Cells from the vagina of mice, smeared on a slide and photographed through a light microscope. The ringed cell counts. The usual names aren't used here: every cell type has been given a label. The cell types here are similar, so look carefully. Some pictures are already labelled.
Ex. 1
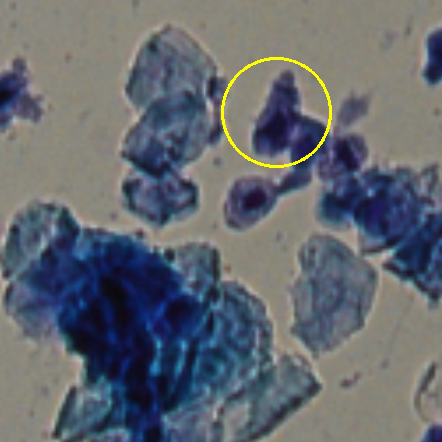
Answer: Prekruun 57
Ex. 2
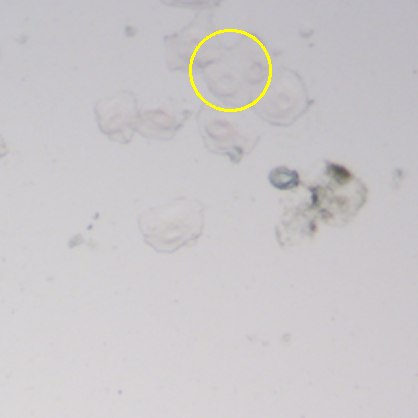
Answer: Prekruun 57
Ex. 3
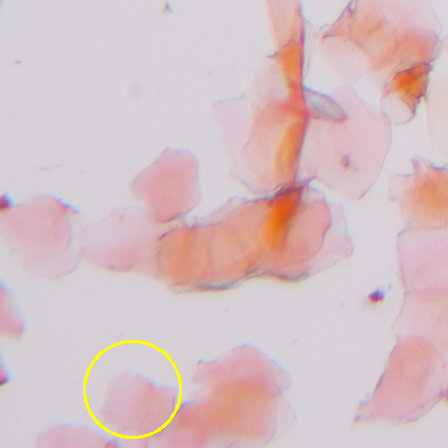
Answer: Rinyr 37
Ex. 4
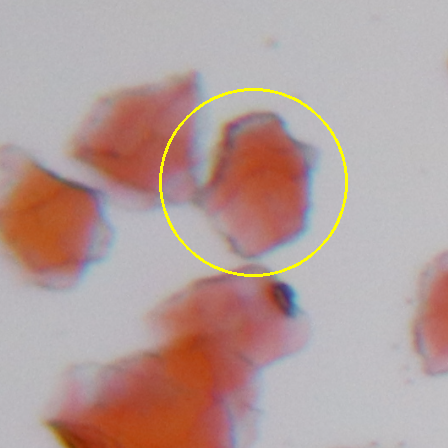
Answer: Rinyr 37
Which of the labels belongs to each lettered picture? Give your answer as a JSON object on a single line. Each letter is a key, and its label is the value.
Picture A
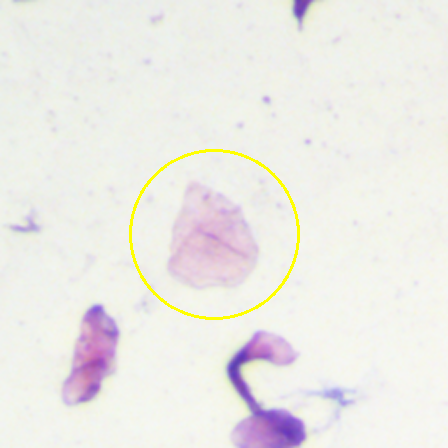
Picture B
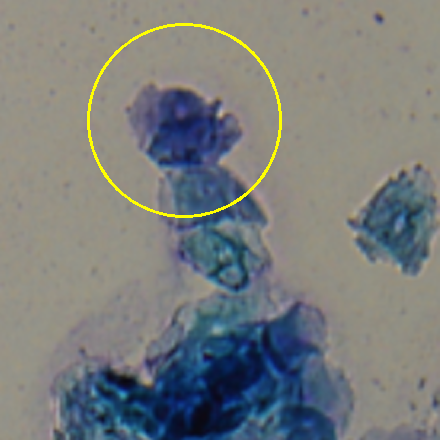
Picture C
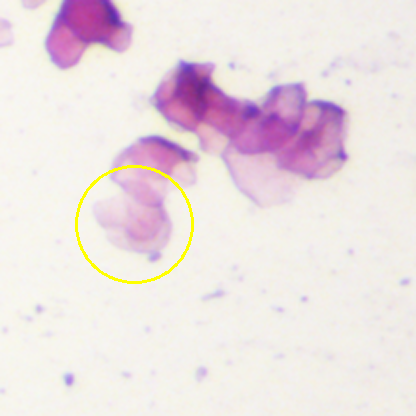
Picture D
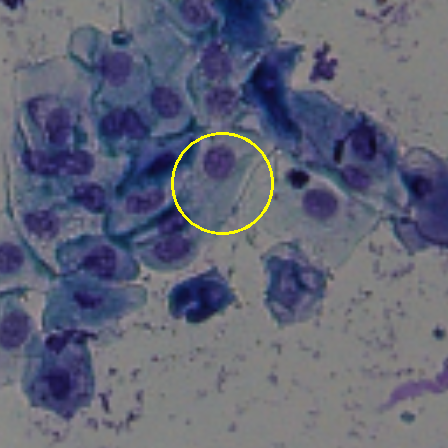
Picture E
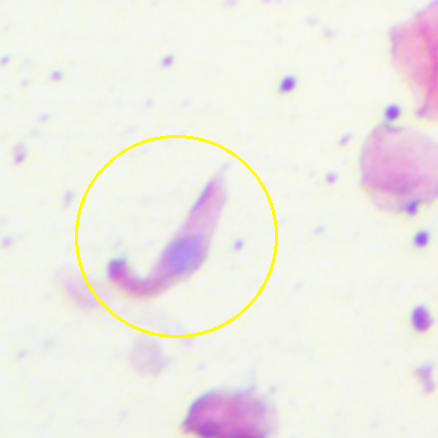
{"A": "Rinyr 37", "B": "Rinyr 37", "C": "Rinyr 37", "D": "Prekruun 57", "E": "Prekruun 57"}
